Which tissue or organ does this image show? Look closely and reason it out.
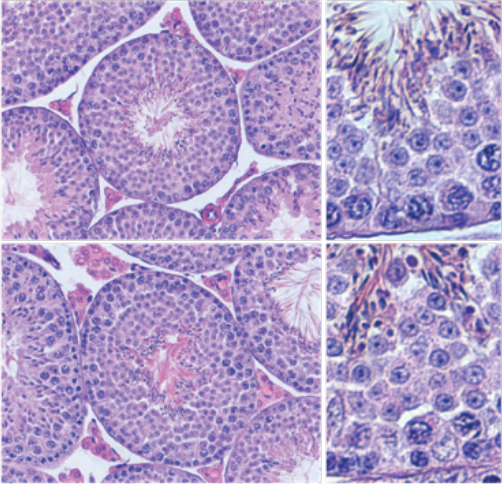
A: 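Seminiferous tubules. Round tubule cross-sections packed with many layers of cells. A central lumen holding pink tail-like filaments. Narrow interstitial spaces between the tubules.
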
